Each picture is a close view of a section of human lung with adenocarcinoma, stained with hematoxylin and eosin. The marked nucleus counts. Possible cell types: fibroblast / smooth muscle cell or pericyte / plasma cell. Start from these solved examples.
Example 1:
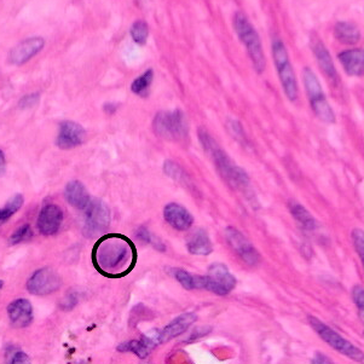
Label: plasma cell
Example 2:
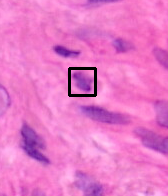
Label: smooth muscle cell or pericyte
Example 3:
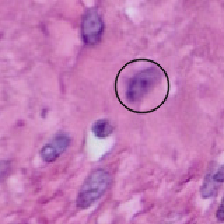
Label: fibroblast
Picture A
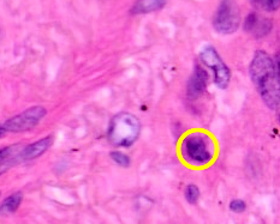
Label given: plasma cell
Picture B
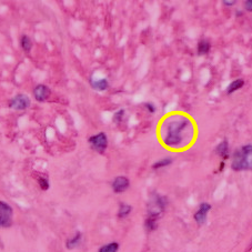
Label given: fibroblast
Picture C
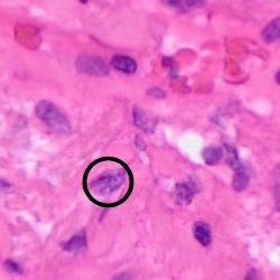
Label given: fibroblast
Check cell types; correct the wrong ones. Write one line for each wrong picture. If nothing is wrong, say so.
Every label is right.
